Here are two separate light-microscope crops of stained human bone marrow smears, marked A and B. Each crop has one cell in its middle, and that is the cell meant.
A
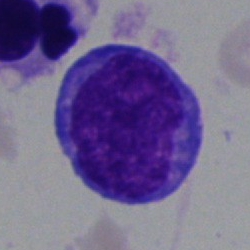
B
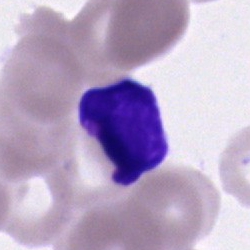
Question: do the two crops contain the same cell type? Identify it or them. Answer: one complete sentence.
No, crop A features a blast, while crop B features a lymphocyte.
